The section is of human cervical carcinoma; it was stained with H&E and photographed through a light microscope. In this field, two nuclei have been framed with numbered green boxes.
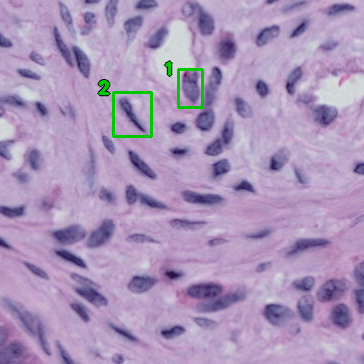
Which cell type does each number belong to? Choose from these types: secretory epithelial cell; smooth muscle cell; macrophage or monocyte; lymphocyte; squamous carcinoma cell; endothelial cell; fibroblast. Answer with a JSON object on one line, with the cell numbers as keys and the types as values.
{"1": "endothelial cell", "2": "fibroblast"}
